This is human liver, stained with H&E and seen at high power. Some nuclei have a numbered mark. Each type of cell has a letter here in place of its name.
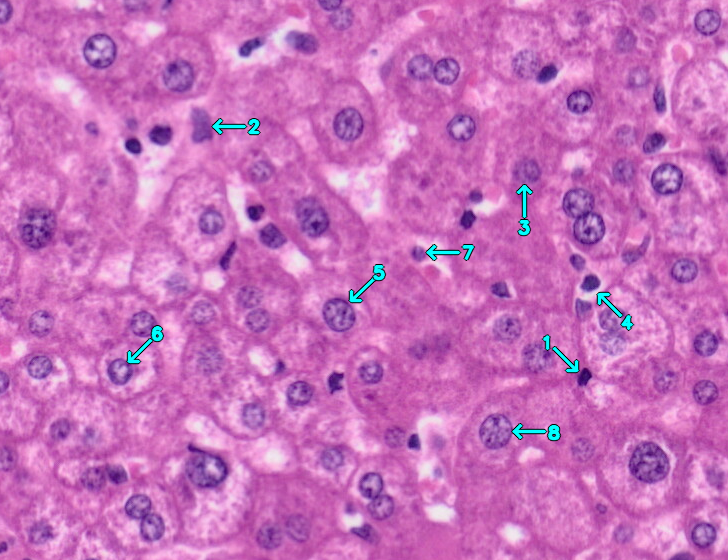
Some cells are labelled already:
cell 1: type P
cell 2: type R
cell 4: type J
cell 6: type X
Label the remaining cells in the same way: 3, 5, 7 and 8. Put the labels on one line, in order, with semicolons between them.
type X; type X; type J; type X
